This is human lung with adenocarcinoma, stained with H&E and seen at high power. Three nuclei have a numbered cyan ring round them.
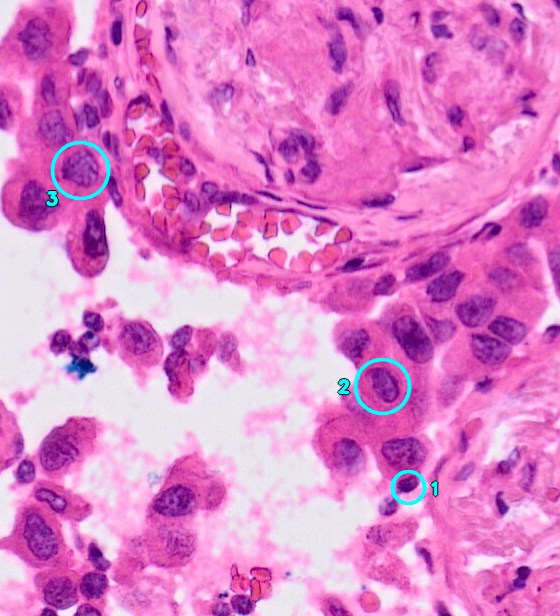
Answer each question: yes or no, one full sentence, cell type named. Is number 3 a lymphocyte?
No, the cell bearing the number 3 is a carcinoma cell, not a lymphocyte.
